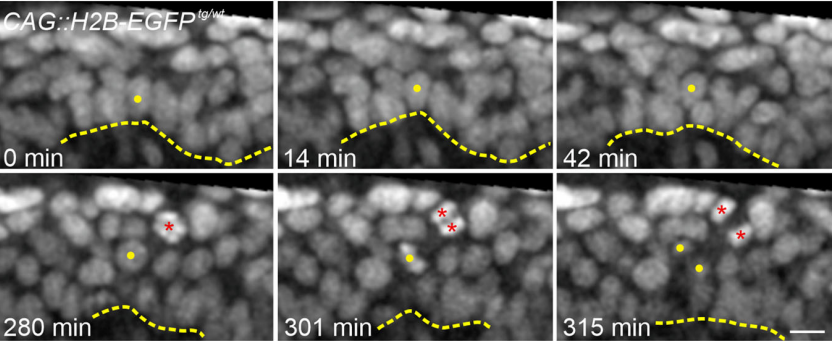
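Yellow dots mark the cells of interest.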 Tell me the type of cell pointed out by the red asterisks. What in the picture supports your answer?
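The asterisks lie on bright, condensed nuclei well above the lowest cell layer. One bright nucleus in an earlier frame becomes two bright nuclei that move apart in later frames.
Answer: dividing suprabasal cell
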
